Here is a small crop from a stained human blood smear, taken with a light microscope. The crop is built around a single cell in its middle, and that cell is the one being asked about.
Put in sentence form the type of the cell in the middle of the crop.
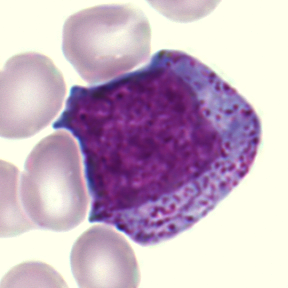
The cell shown in the center of this light-microscope crop is a promyelocyte.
